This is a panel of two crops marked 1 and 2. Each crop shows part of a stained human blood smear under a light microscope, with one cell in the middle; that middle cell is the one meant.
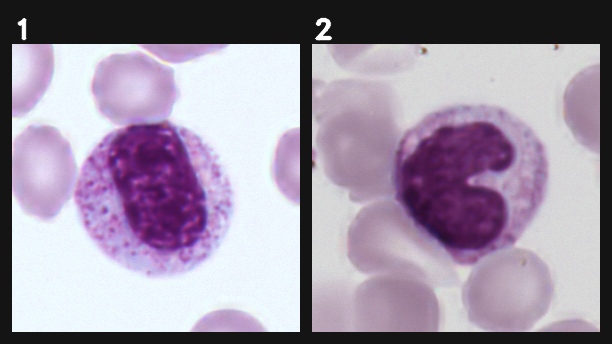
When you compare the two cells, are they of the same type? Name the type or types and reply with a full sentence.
No, mark crop 1 as a metamyelocyte and crop 2 as a band neutrophil.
